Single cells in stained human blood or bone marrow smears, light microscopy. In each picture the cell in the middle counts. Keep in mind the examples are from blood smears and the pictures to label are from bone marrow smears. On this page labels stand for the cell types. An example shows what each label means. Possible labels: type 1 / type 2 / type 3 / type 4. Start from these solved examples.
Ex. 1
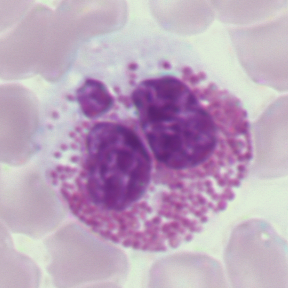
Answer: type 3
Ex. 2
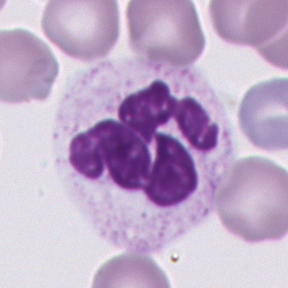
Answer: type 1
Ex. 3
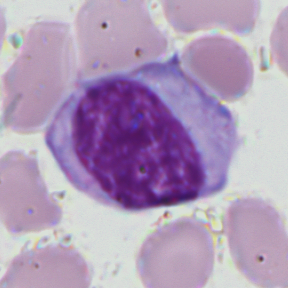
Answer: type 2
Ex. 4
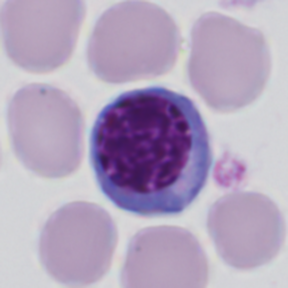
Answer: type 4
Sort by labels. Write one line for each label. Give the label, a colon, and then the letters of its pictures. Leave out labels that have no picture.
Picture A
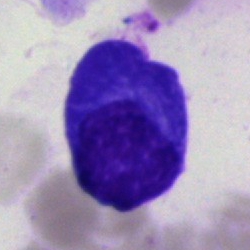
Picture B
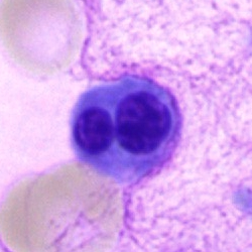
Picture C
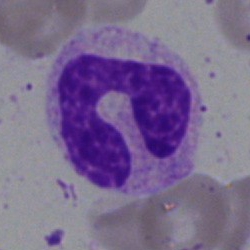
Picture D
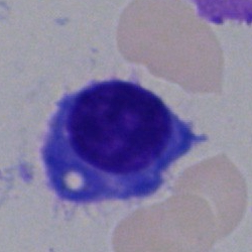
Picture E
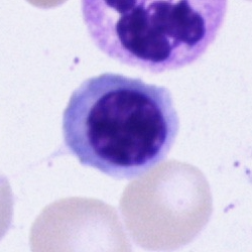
type 1: C
type 2: A, D
type 4: B, E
